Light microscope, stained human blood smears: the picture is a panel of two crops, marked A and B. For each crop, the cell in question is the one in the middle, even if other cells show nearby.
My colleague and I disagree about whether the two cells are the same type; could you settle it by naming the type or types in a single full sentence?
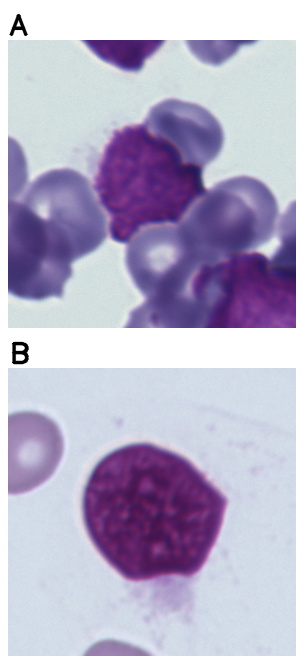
Yes, that holds, both crops show smudge cells.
